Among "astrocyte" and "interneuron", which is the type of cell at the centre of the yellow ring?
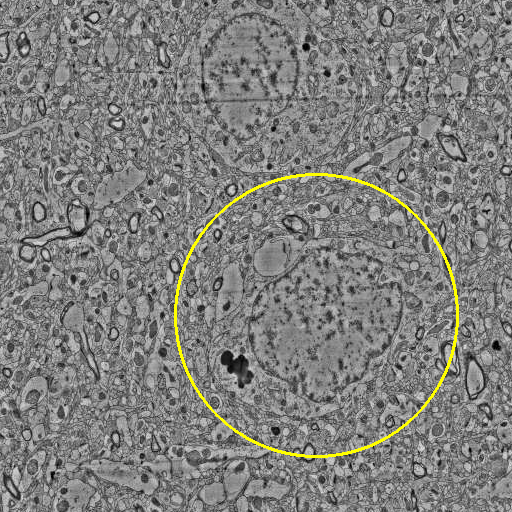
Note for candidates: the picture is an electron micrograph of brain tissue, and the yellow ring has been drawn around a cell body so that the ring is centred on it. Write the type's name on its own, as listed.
interneuron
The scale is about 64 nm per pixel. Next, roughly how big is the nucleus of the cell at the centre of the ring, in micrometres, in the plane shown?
About 10 micrometers across, in this plane.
